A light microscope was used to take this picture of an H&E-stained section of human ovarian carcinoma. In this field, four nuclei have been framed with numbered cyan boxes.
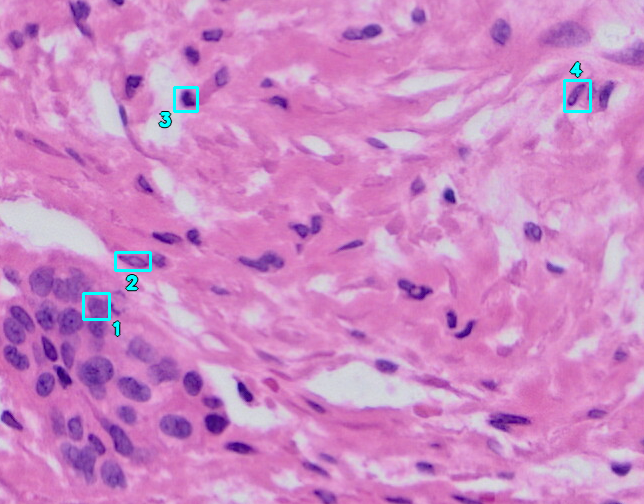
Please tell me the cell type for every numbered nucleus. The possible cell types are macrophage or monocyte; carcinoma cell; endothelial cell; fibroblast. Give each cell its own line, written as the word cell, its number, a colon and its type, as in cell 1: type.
cell 1: carcinoma cell
cell 2: fibroblast
cell 3: fibroblast
cell 4: fibroblast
